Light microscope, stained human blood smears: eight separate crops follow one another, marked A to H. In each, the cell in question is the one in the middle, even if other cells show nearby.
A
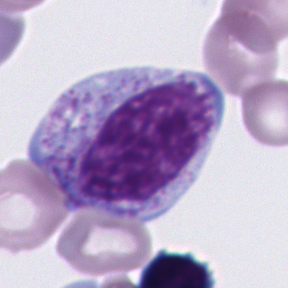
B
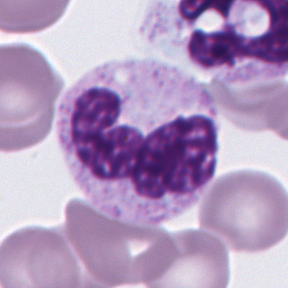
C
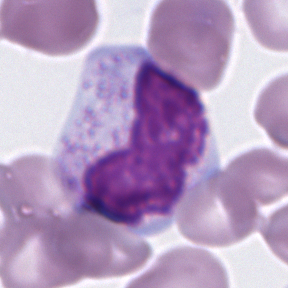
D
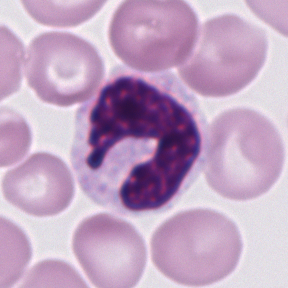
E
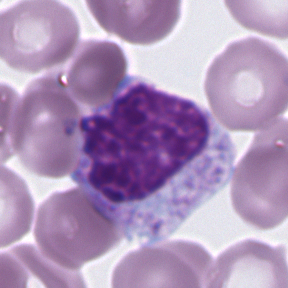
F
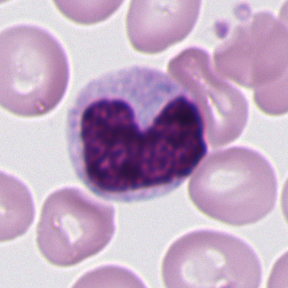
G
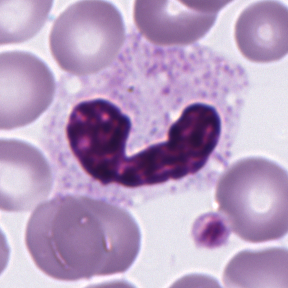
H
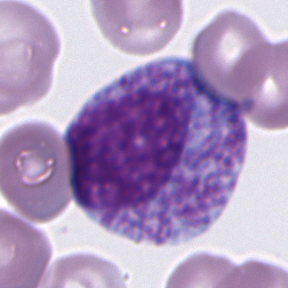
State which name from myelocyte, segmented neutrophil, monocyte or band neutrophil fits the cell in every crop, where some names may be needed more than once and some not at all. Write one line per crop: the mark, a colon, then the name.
A: myelocyte
B: segmented neutrophil
C: myelocyte
D: band neutrophil
E: myelocyte
F: band neutrophil
G: segmented neutrophil
H: myelocyte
